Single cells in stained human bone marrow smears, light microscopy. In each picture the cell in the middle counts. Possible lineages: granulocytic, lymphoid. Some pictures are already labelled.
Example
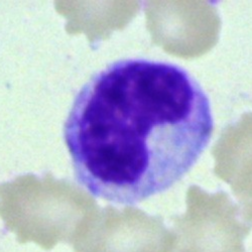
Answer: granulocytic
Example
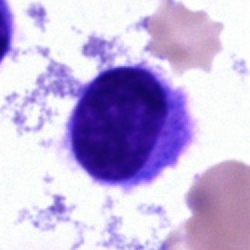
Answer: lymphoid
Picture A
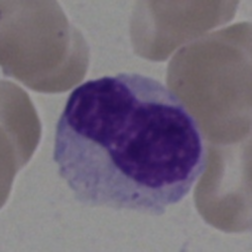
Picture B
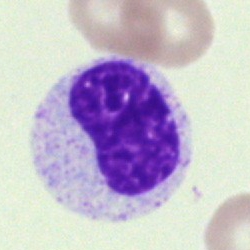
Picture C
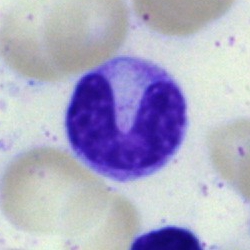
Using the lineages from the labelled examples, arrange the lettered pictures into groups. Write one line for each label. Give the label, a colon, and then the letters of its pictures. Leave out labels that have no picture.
granulocytic: A, B, C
